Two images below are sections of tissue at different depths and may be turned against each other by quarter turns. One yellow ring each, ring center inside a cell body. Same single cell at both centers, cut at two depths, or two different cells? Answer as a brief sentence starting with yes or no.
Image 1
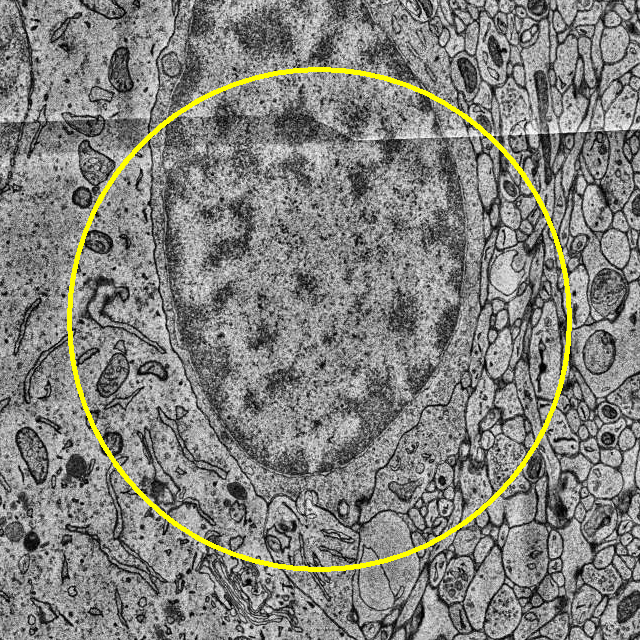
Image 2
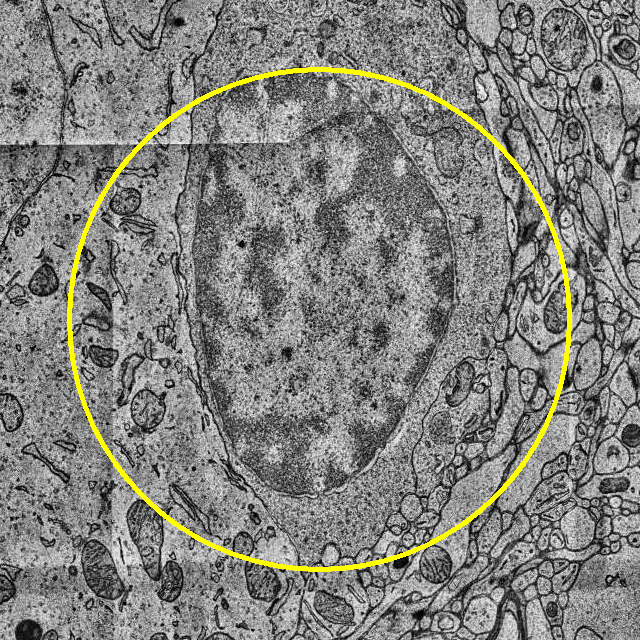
Yes, both circles in yellow pick out the same cell.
